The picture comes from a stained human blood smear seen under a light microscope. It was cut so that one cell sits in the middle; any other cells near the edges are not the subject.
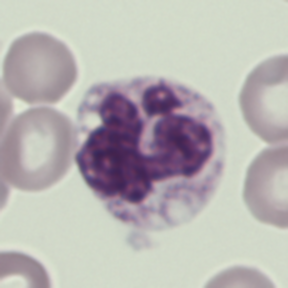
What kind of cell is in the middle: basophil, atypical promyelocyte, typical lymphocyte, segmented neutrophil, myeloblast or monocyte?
segmented neutrophil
